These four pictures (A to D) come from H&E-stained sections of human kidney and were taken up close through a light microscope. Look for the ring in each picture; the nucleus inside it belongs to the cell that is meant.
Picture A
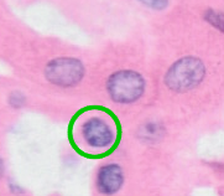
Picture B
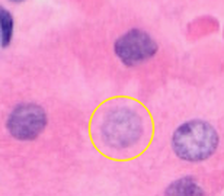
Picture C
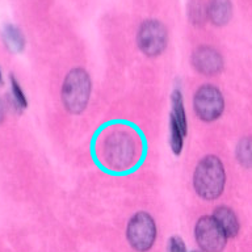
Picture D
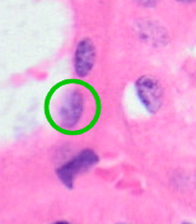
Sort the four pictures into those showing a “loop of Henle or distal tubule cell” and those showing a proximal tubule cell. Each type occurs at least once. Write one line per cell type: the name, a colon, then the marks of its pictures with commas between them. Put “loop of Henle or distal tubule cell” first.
loop of Henle or distal tubule cell: A, D
proximal tubule cell: B, C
